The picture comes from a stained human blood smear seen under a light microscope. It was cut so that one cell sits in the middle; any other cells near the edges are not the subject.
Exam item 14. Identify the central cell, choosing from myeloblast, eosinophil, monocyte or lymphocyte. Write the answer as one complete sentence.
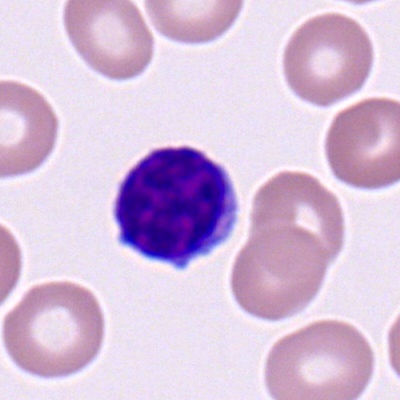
To answer, the cell in the center of the crop is a lymphocyte.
